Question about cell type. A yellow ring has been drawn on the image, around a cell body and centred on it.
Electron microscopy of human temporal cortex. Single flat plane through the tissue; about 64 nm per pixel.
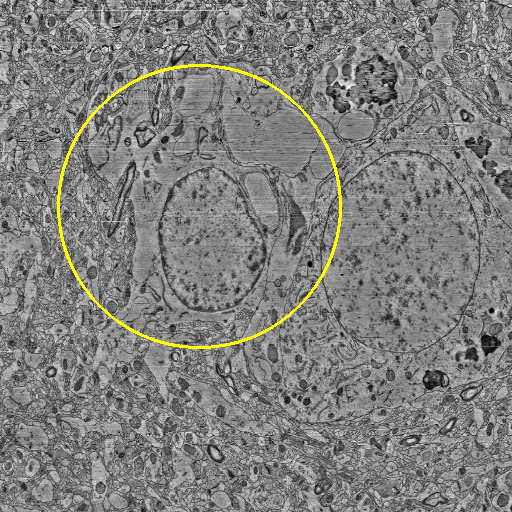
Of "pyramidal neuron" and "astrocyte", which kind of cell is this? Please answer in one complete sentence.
At the centre of the ring lies an astrocyte.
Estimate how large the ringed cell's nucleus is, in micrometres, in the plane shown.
In this plane the nucleus measures roughly 9 by 7 micrometers.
